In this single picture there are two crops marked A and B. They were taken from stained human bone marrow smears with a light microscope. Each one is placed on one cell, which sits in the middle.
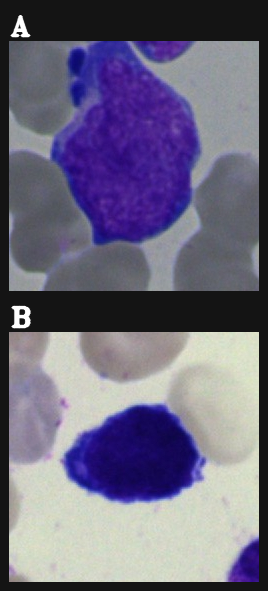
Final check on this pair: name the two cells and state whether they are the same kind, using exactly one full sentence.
No, the cell centred in crop A is a blast, and that centred in crop B is a lymphocyte.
